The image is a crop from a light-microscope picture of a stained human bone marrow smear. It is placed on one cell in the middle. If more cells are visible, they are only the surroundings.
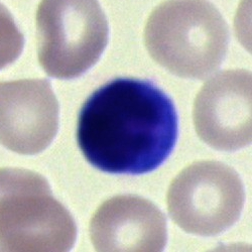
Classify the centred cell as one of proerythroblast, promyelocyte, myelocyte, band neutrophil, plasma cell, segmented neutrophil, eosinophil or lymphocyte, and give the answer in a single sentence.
The cell that lies at the centre of the crop is a lymphocyte.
